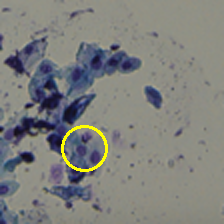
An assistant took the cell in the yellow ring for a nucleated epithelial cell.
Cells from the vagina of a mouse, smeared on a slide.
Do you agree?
I agree, it is a nucleated epithelial cell.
